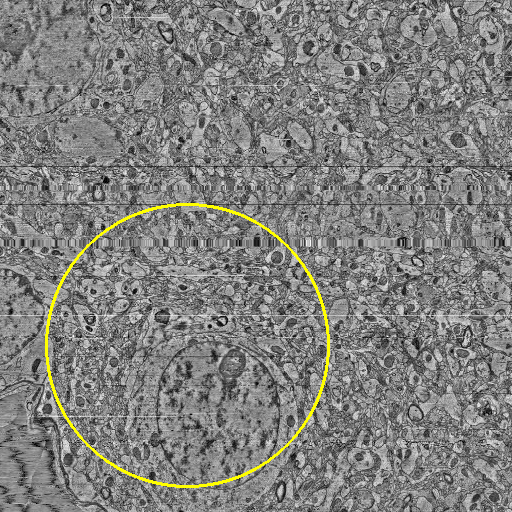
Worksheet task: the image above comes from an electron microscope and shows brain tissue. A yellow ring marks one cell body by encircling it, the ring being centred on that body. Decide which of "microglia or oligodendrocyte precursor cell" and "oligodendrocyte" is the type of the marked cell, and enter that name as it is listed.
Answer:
microglia or oligodendrocyte precursor cell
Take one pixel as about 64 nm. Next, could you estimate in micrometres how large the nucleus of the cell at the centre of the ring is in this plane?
In this plane, roughly 10 by 8 micrometres.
